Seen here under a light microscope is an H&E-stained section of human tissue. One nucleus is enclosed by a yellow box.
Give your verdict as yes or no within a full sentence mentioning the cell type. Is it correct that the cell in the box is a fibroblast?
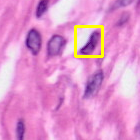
Yes, the statement that the cell in the box is a fibroblast is correct.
